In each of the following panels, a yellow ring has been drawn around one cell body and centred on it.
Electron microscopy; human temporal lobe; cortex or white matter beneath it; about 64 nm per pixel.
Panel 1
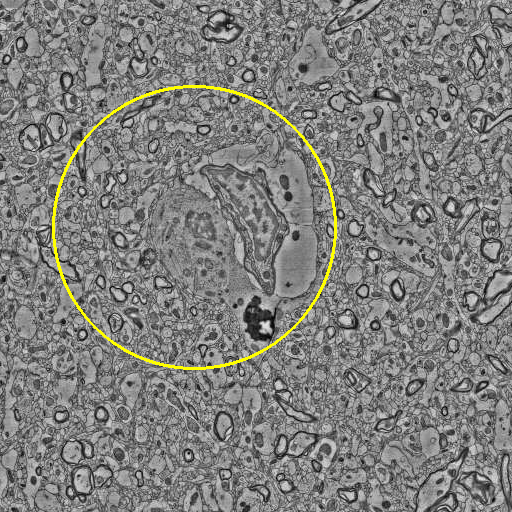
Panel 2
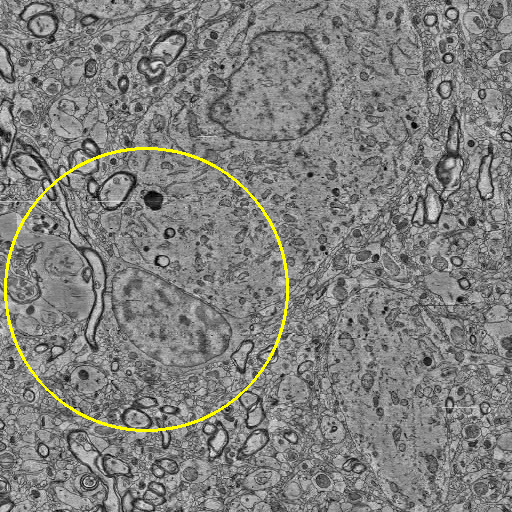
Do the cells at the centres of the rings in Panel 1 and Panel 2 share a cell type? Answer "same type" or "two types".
same type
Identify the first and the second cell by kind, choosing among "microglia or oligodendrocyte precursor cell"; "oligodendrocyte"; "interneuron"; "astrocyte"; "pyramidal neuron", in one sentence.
Both cells are the same kind, each one being an oligodendrocyte.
